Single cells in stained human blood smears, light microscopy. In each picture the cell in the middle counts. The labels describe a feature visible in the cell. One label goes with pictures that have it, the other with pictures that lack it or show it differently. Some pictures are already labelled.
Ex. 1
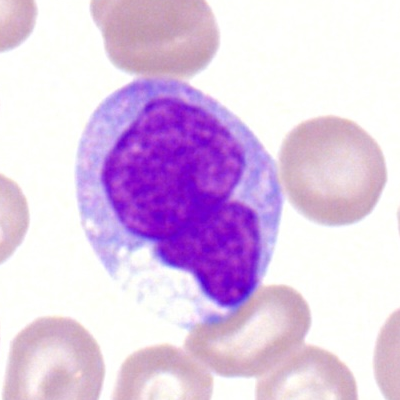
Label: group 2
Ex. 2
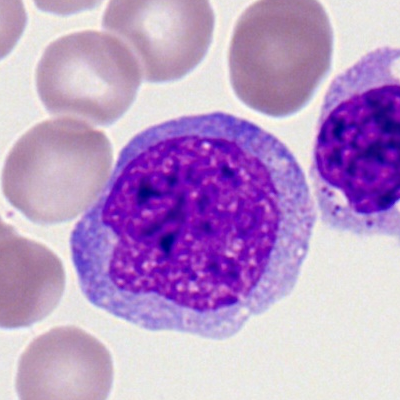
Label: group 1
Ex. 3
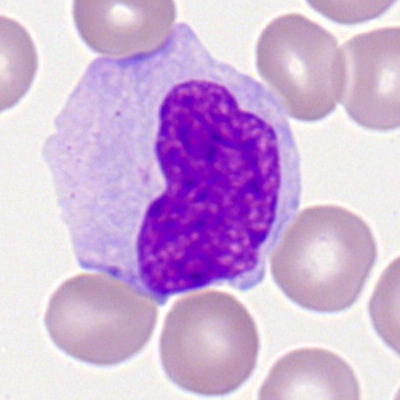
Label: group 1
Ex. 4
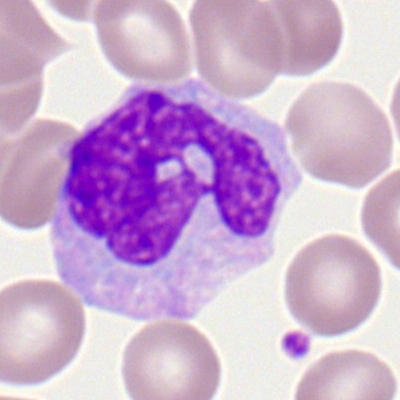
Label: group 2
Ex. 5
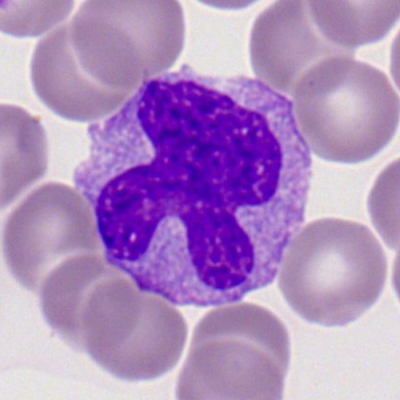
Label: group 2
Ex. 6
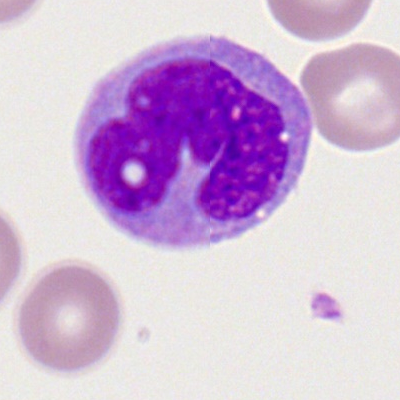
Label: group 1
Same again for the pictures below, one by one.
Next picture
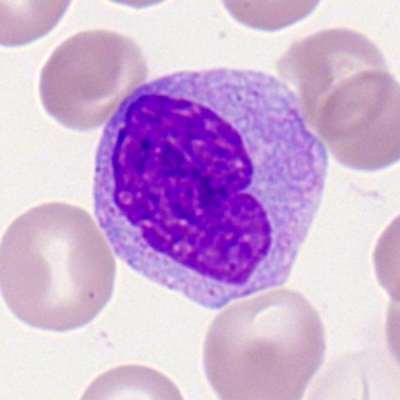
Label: group 1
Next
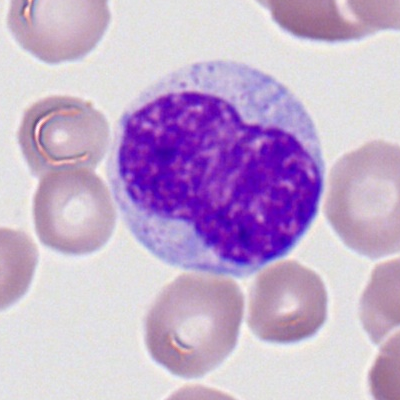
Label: group 1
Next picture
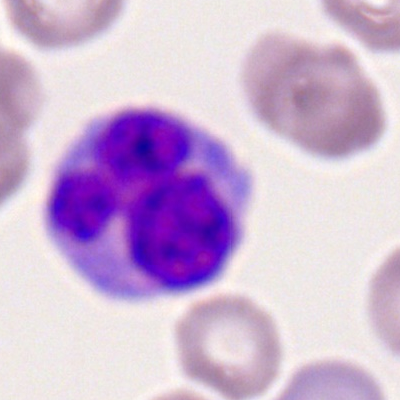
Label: group 2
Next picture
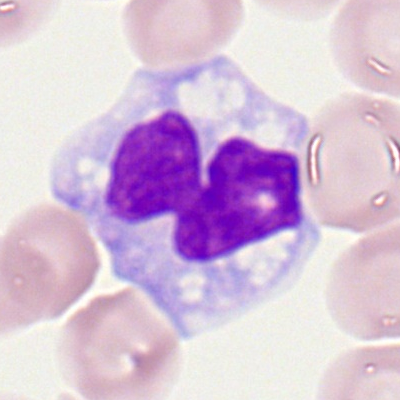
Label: group 2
